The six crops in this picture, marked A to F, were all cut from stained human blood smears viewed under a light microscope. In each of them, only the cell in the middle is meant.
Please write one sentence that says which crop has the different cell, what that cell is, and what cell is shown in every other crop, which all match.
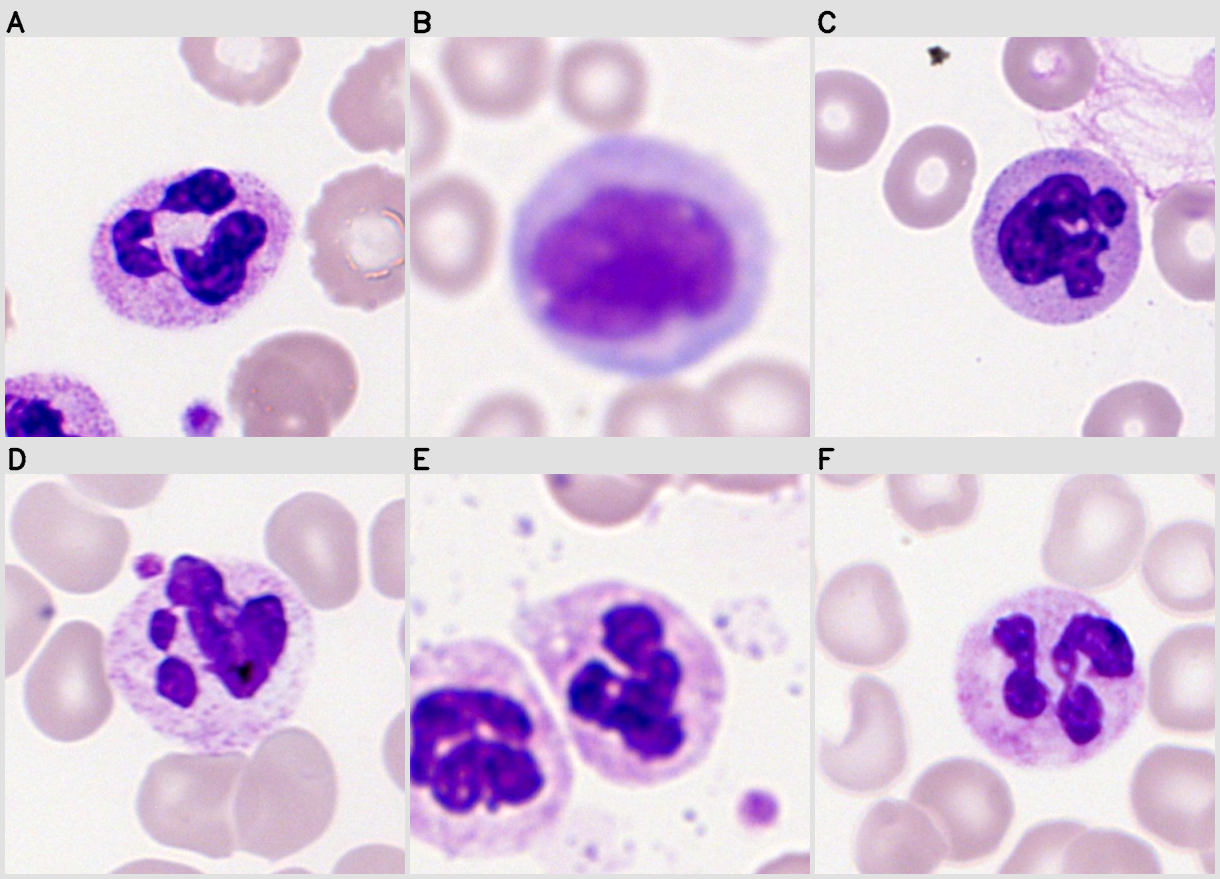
What sets crop B apart is that it is a monocyte; the others are all neutrophils.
